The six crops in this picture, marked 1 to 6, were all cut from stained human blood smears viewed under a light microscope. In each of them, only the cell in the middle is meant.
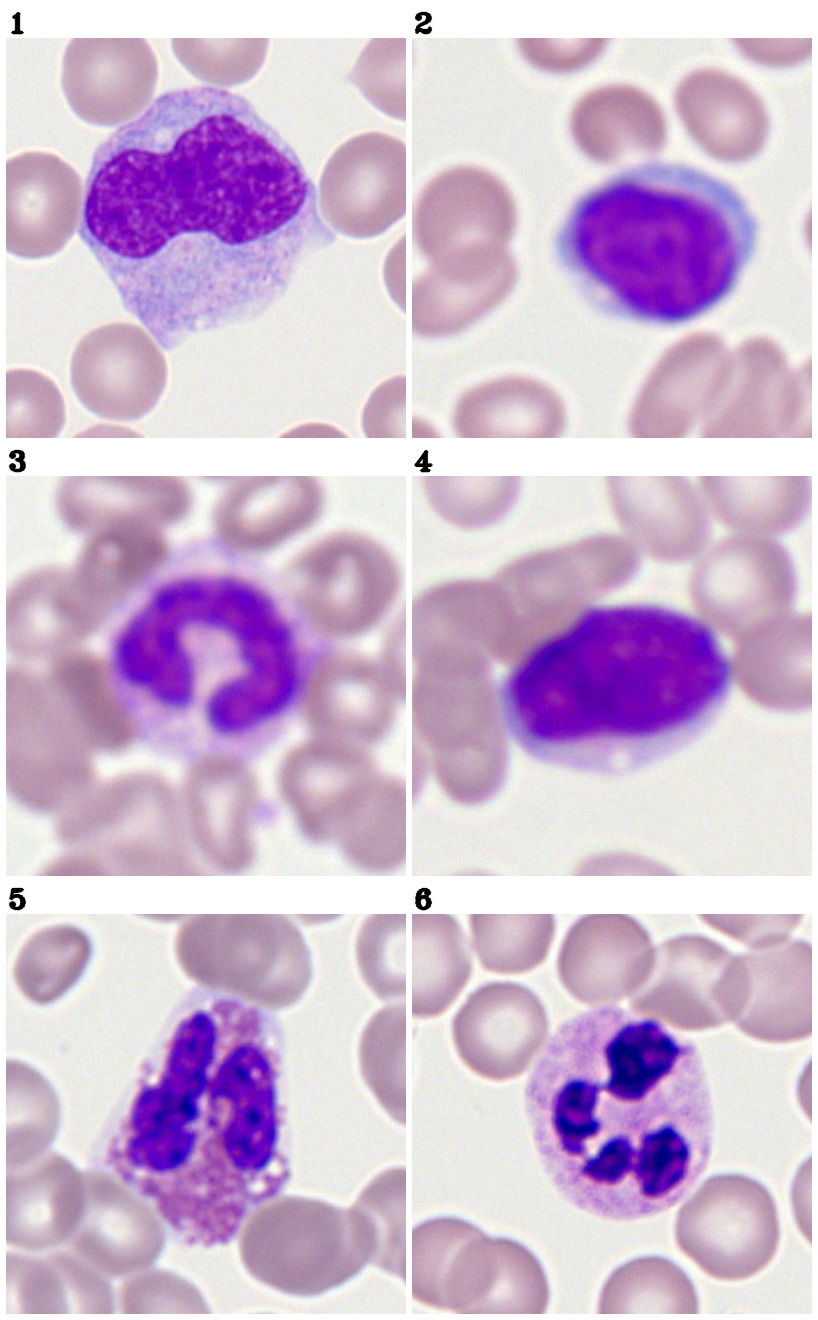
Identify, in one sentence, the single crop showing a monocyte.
The crop with a monocyte in it is crop 1.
